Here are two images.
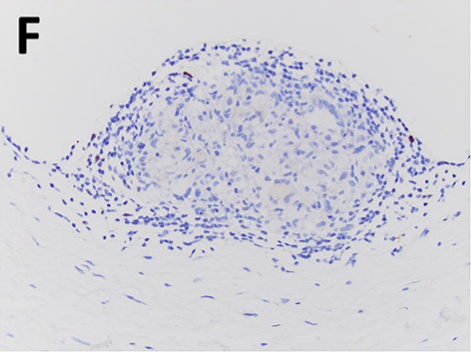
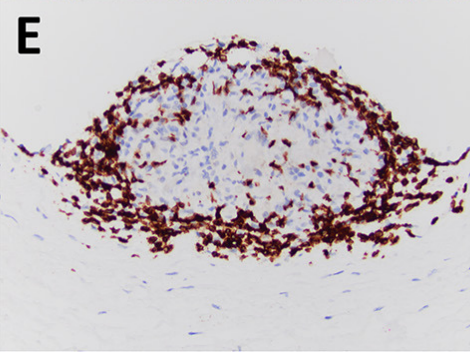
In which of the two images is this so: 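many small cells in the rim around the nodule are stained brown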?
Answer: The second image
